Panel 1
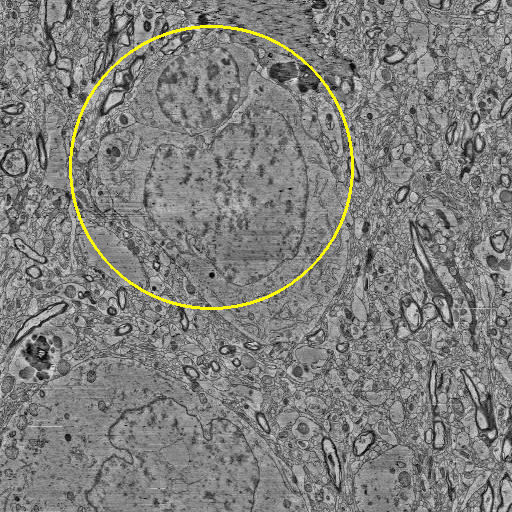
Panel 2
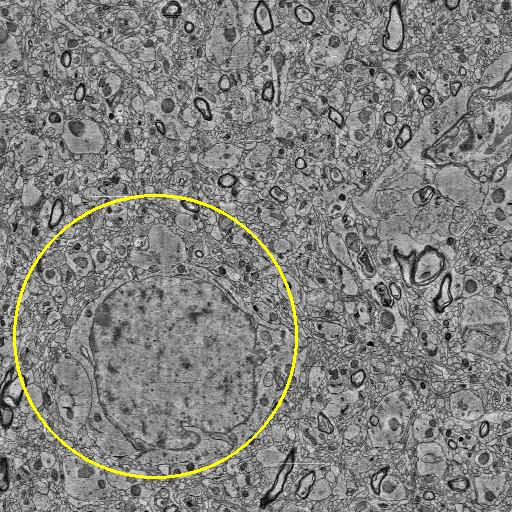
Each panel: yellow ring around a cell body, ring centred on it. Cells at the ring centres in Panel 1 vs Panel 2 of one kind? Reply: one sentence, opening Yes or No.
Yes, Panel 1 and Panel 2 have cells of one kind at the ring centres.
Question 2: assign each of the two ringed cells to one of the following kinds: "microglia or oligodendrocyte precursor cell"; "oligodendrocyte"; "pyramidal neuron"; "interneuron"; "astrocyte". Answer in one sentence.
Each of the two rings surrounds an interneuron.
